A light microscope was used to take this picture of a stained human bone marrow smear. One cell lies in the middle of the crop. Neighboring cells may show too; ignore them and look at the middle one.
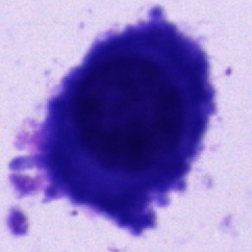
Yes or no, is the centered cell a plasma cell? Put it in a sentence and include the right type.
Yes, shown in the middle of the crop is a plasma cell.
